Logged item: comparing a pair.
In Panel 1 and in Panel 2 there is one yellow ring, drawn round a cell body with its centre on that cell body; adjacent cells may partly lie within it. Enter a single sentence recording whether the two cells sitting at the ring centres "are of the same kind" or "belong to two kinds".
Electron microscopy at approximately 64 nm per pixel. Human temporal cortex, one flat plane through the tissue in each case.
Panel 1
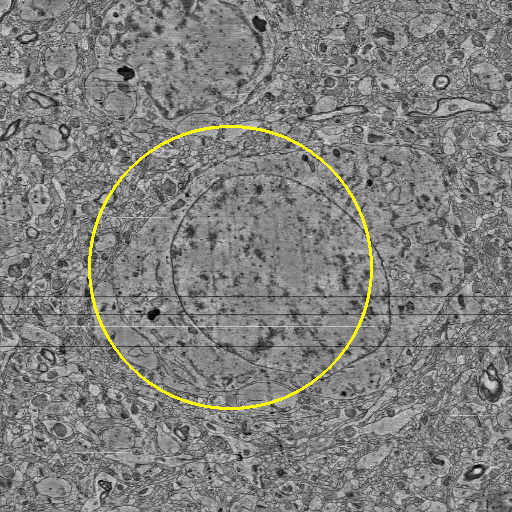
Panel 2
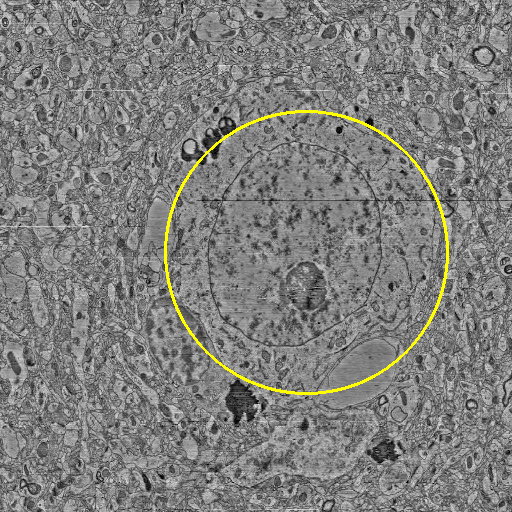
Logged: the cells centred in the rings of Panel 1 and Panel 2 are of the same kind.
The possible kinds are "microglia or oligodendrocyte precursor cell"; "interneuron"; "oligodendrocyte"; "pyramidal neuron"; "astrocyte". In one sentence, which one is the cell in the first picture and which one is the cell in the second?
The second cell is a pyramidal neuron, just as the first is.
